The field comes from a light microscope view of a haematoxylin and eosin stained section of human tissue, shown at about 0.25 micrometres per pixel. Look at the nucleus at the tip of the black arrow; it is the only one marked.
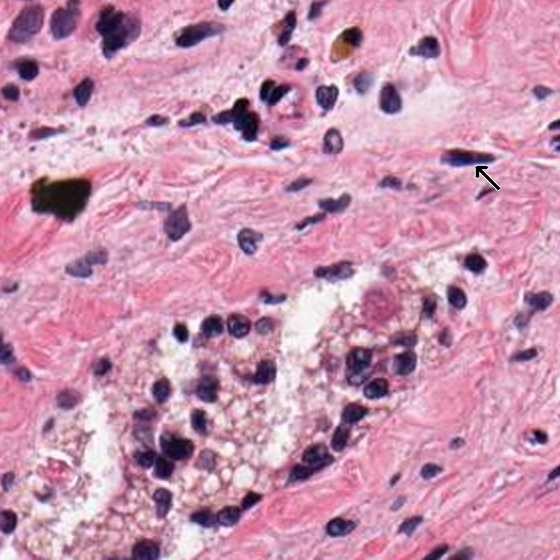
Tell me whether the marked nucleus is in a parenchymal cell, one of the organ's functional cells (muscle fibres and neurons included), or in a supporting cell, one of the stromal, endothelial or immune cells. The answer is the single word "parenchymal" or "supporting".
supporting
